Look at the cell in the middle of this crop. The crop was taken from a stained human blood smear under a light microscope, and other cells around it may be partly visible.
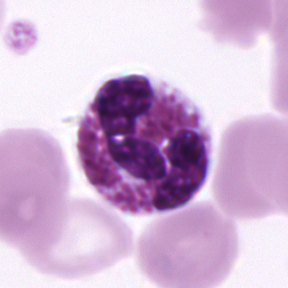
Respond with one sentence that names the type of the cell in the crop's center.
The central element of this crop is a cell, namely an eosinophil.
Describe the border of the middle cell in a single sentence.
The outline traces a smooth curve with no projections along it.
